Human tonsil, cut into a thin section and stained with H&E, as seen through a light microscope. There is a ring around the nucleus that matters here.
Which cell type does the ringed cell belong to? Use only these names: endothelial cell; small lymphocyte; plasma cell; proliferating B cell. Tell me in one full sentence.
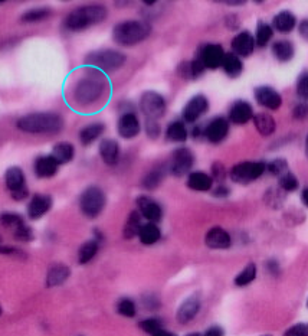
Placed in its cell category, the ringed cell is an endothelial cell.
